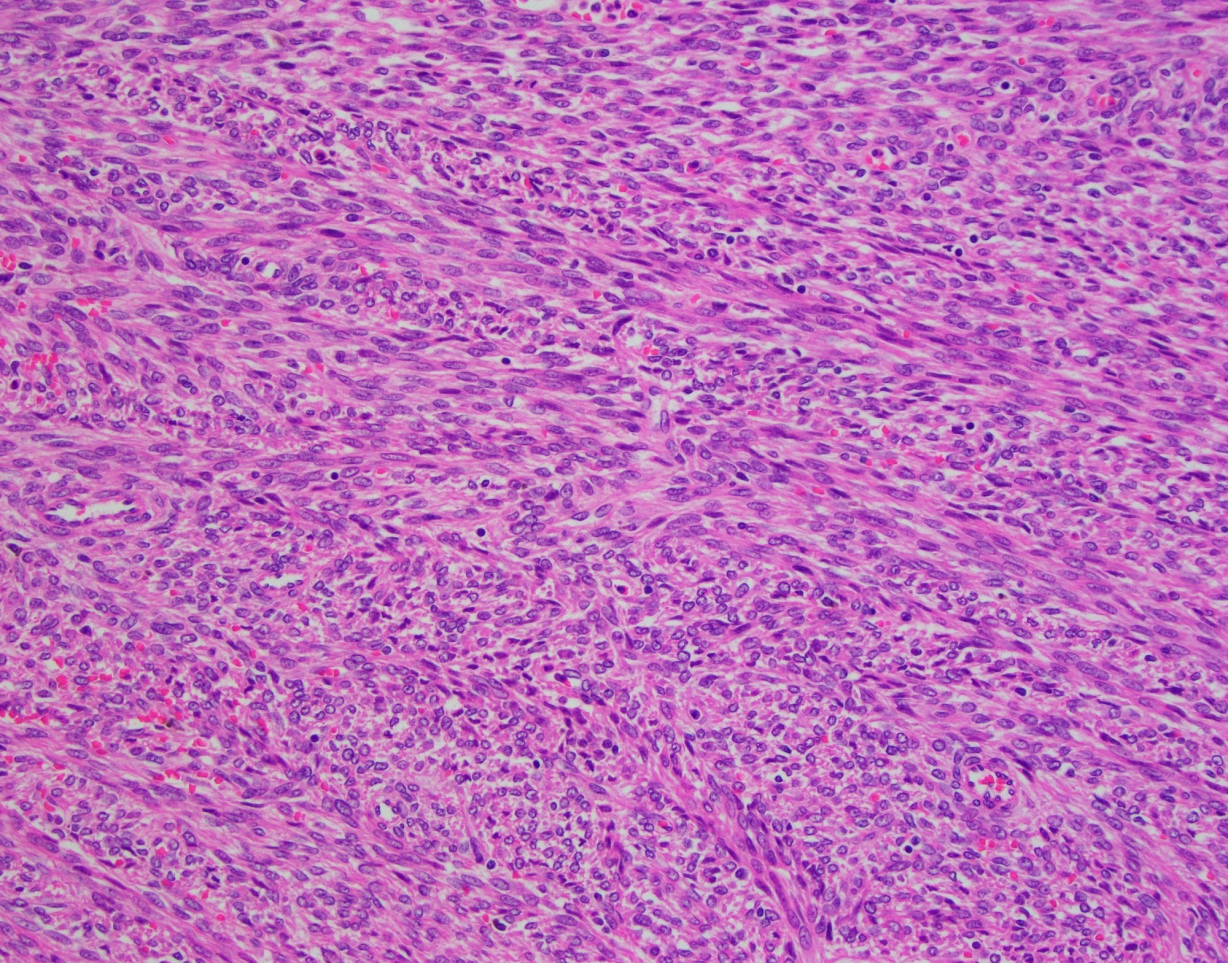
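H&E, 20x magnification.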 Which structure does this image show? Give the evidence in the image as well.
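Fascicular growth pattern. Elongated cells run in parallel bundles. Bundles sweep in different directions across the field. Some bundles are cut lengthwise and others obliquely or in cross section.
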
